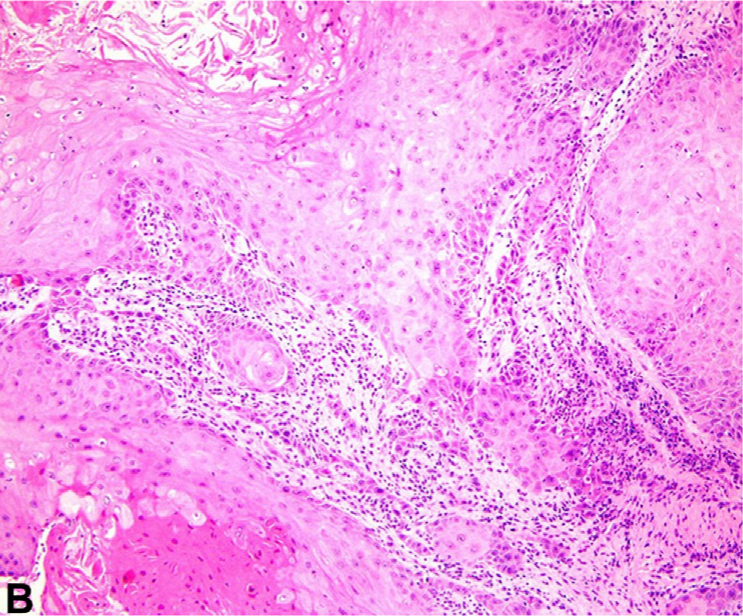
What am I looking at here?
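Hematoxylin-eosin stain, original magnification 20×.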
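Islands and cords of atypical keratinocytes lie in the dermis, separated by strands of stroma crowded with small dark inflammatory cells. The tumour cells are large and polygonal, with abundant glassy pink cytoplasm and enlarged nuclei of varying size, and in places they form small concentric keratinizing whorls. Pink keratin fills parts of the larger nests.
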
